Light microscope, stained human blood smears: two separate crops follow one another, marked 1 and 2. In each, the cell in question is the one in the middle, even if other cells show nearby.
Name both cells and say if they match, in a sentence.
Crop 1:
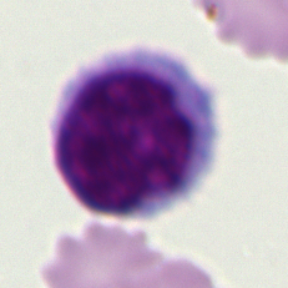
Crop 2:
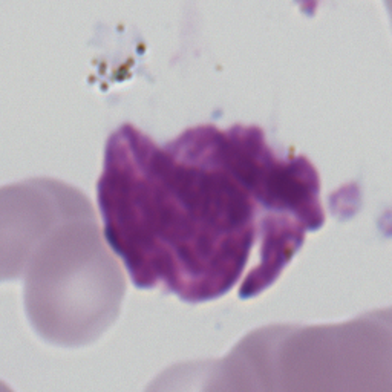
No, crop 1 contains a hairy cell, while crop 2 contains a smudge cell.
